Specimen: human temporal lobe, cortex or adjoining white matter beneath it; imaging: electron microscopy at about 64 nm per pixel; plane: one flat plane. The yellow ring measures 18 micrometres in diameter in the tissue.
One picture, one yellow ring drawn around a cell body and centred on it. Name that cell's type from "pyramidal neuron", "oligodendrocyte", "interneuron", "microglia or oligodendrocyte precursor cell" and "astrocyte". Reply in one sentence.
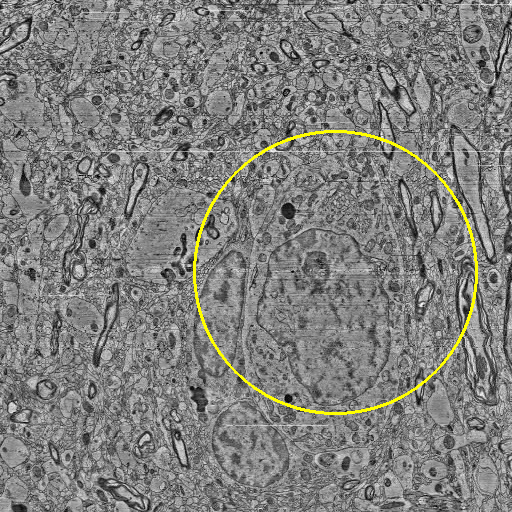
Centred in the ring is an interneuron.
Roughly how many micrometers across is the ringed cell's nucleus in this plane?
The nucleus comes to roughly 12 by 9 micrometres in this plane.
